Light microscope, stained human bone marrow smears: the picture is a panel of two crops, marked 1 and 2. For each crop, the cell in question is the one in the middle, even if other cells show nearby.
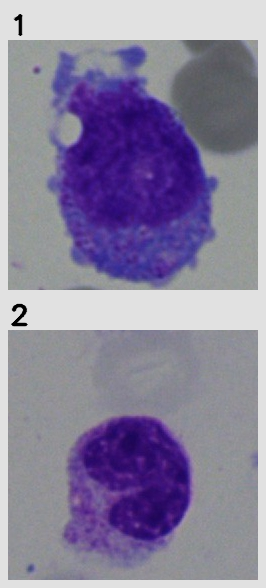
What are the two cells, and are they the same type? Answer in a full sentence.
No, a monocyte is in crop 1, and a band neutrophil is in crop 2.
